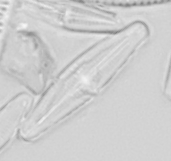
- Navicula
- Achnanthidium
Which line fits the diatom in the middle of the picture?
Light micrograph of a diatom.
Achnanthidium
